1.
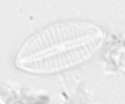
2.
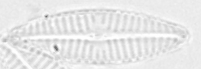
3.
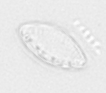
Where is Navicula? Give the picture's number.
2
